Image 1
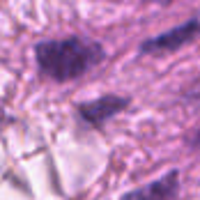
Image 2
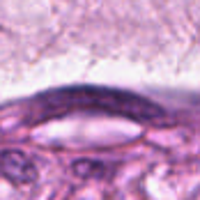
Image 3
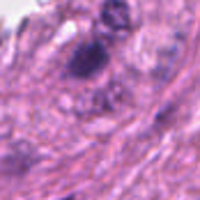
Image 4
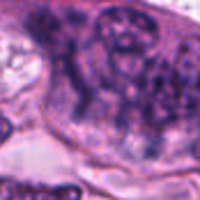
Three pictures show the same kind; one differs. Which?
Picture 4: a syncytial knot, while the others are vascular myocytes.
